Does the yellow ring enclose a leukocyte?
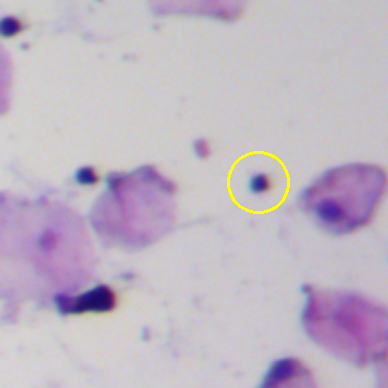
Yes. The ring encloses a leukocyte.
